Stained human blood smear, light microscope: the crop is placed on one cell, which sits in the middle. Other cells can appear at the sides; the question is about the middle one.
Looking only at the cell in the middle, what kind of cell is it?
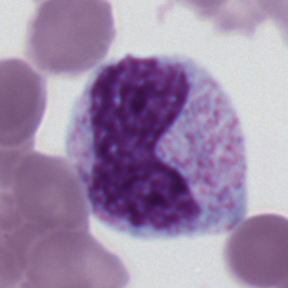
band neutrophil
